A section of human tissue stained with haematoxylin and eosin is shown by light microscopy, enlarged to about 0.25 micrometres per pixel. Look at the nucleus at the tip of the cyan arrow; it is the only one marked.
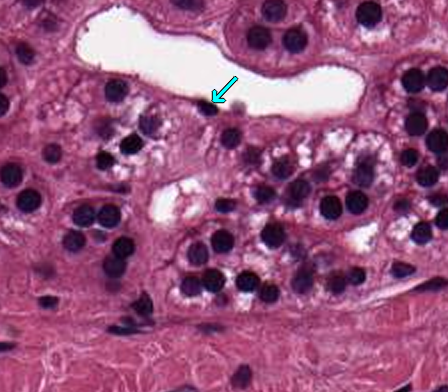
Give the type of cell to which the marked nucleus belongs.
endothelial cell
